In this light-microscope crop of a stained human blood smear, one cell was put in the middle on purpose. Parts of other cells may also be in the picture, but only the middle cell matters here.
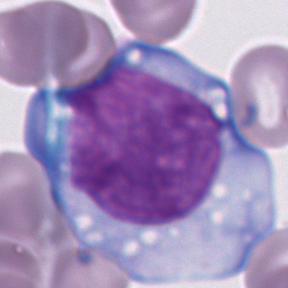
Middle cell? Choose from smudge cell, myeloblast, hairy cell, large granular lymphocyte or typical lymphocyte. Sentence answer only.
The cell under consideration, at the middle of the crop, is a myeloblast.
